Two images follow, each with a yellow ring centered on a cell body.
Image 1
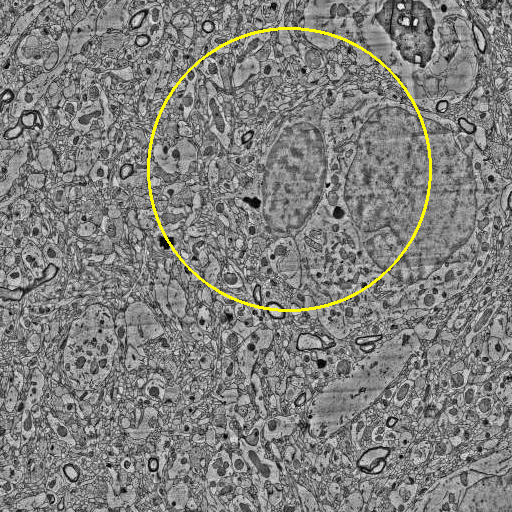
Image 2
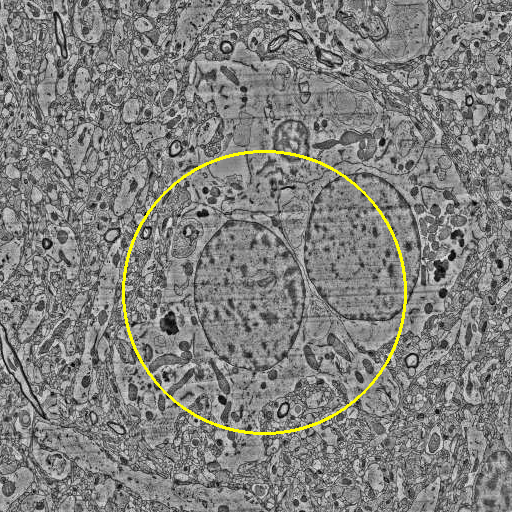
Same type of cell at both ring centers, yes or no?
yes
